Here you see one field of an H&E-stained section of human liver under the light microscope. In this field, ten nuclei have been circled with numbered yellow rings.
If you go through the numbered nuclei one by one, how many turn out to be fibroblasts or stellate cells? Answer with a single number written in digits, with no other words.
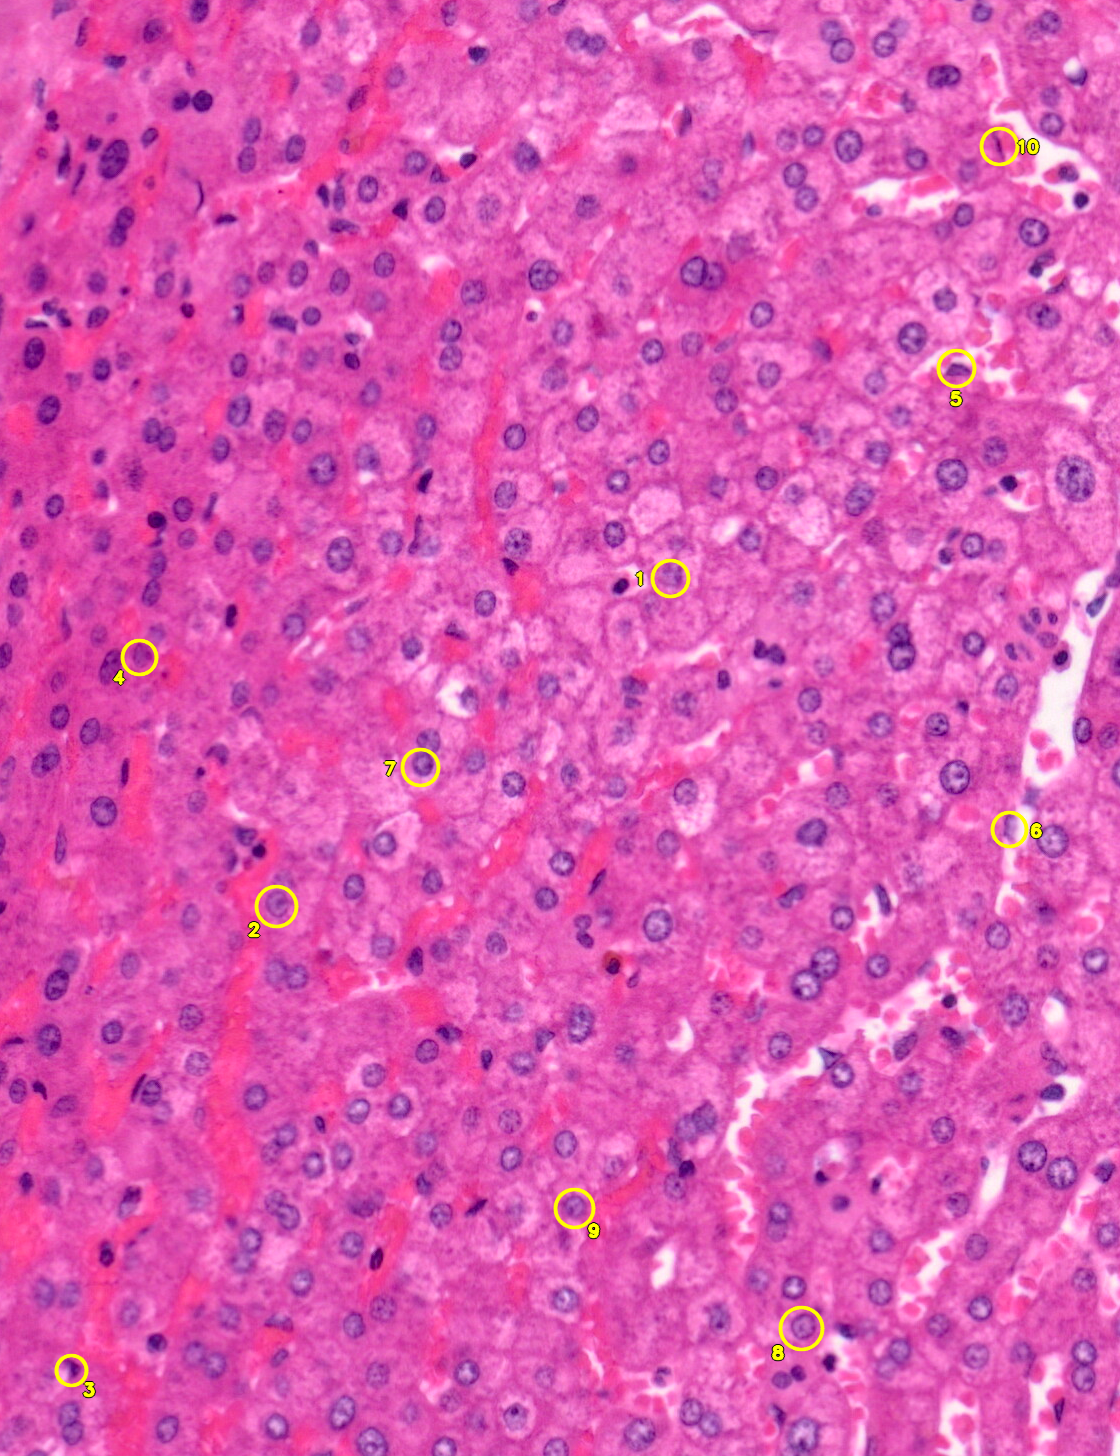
1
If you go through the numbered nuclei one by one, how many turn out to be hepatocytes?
6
